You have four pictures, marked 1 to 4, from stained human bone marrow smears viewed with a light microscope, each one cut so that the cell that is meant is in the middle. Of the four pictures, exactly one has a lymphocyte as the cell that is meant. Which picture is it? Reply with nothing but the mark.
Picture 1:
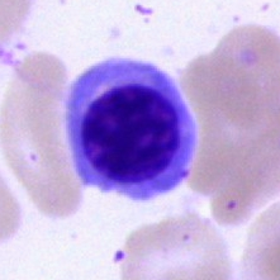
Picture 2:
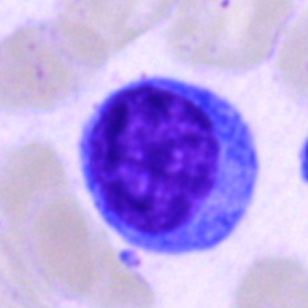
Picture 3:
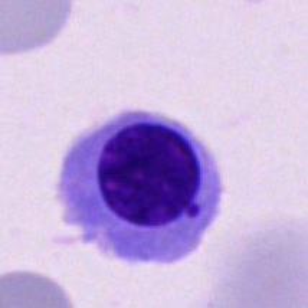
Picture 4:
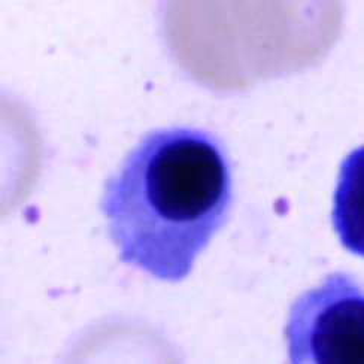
2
